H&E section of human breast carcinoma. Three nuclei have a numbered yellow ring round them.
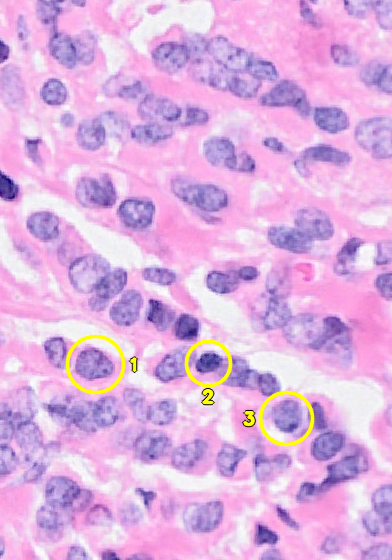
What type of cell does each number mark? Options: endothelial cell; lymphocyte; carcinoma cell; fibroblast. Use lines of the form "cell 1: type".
cell 1: carcinoma cell
cell 2: lymphocyte
cell 3: carcinoma cell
